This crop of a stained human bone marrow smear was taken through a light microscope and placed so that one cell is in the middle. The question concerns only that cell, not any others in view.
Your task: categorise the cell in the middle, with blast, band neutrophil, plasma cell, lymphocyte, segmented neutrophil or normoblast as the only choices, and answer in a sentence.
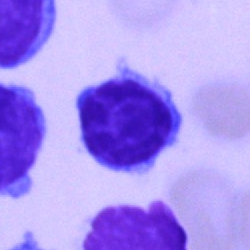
In the middle of this smear crop is a lymphocyte.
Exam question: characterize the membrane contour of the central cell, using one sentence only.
The cell outline lacks smoothness, being ragged or extended into projections.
